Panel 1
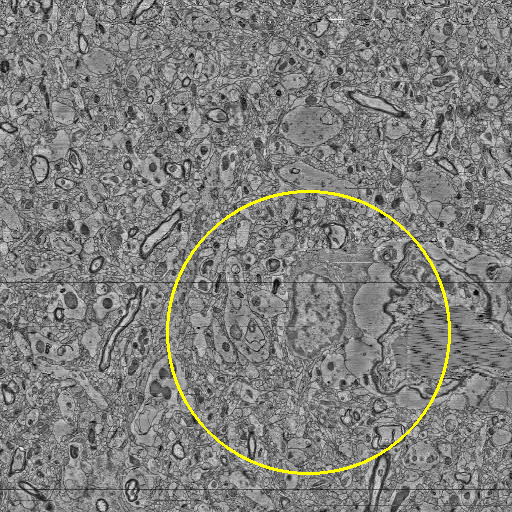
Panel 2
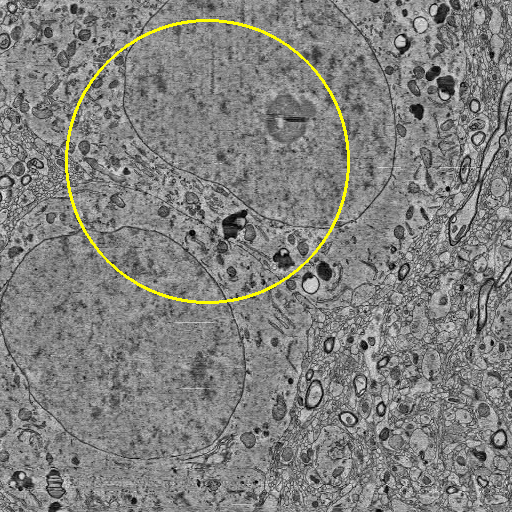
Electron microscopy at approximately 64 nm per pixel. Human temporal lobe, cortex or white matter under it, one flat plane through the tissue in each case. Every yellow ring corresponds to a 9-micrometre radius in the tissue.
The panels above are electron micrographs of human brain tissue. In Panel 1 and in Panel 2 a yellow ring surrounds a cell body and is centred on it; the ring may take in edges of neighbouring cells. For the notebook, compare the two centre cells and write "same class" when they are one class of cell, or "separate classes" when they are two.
separate classes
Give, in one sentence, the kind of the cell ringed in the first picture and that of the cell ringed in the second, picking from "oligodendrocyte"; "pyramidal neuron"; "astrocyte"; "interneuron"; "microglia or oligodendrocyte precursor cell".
For the first picture it is an oligodendrocyte; for the second, a pyramidal neuron.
